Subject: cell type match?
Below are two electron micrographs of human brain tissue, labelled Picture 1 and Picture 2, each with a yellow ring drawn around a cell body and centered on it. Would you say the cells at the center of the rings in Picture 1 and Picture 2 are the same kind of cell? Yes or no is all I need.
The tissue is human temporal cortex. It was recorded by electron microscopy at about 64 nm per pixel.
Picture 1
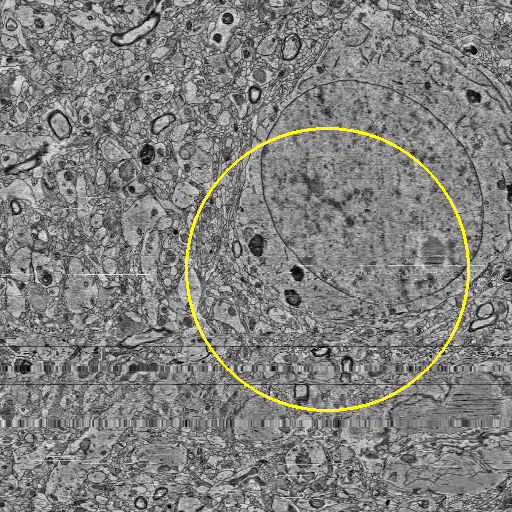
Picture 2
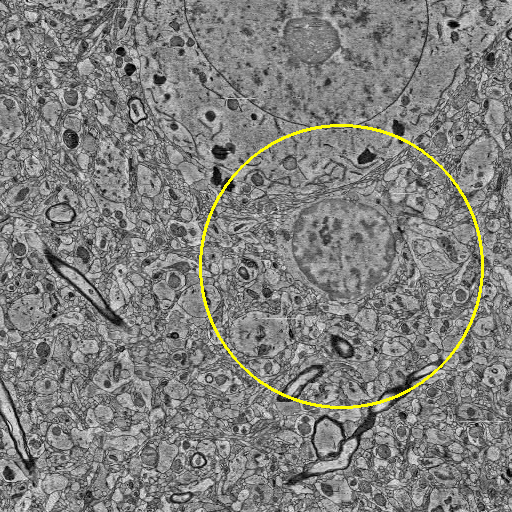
no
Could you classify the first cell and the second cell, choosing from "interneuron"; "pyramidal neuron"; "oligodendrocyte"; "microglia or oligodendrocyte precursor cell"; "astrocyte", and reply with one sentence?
The second cell is an oligodendrocyte, while the first is a pyramidal neuron.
